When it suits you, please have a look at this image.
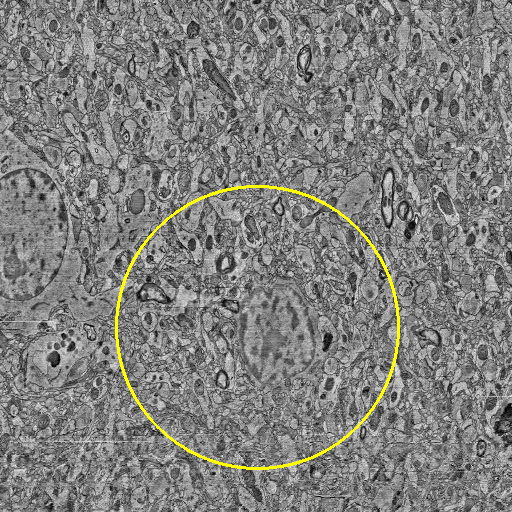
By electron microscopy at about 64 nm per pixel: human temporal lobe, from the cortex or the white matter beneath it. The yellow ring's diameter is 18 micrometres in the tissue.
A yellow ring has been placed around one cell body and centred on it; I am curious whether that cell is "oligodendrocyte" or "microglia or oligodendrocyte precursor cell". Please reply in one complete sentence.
The ringed cell, an oligodendrocyte, has its body at the centre of the yellow ring.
